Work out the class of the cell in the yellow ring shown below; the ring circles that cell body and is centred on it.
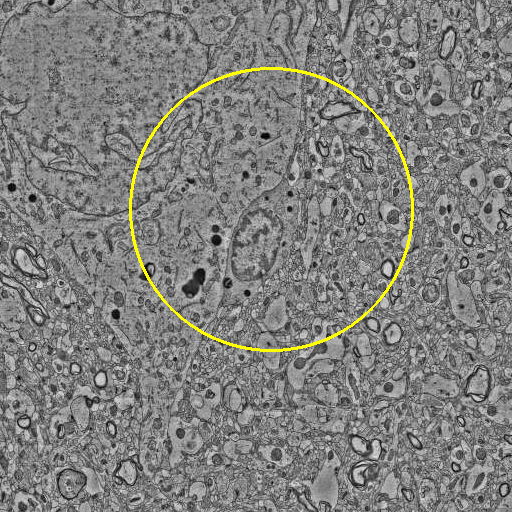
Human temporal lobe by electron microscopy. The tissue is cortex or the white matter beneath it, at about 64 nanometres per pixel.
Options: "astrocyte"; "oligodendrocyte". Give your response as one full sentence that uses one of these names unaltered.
The body ringed in yellow, right at the ring's centre, is that of an oligodendrocyte.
